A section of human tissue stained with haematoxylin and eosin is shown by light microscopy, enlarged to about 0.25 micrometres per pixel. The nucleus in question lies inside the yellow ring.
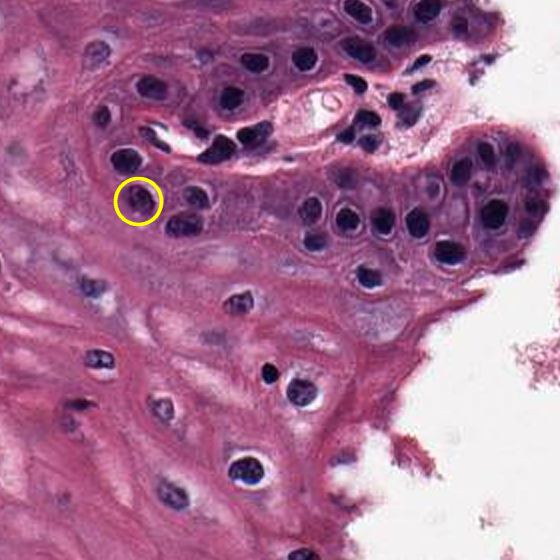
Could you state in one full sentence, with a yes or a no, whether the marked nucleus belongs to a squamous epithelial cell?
Yes, the marked nucleus is found within a squamous epithelial cell.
